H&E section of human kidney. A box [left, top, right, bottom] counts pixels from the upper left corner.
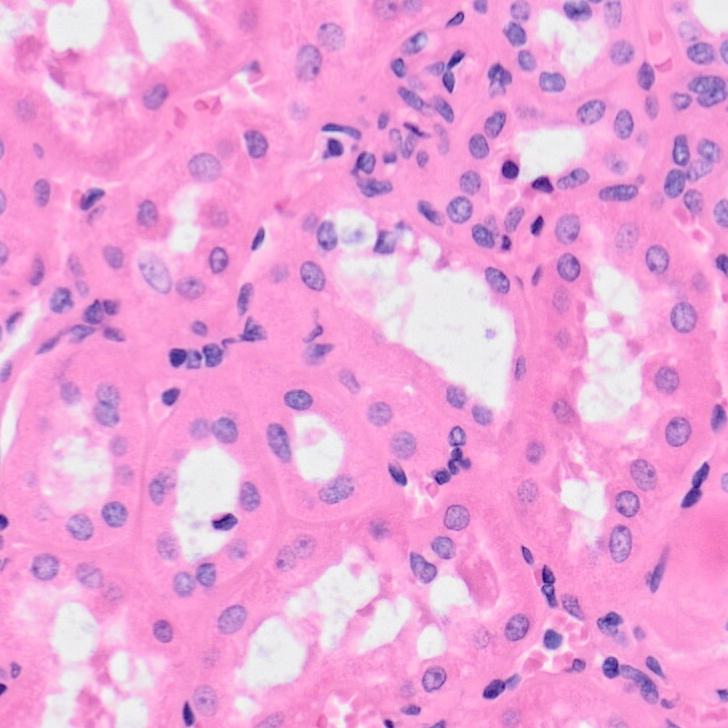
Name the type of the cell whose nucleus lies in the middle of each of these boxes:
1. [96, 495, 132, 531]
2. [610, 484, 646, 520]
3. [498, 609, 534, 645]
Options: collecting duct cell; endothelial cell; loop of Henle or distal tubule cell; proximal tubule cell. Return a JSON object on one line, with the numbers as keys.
{"1": "loop of Henle or distal tubule cell", "2": "proximal tubule cell", "3": "proximal tubule cell"}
